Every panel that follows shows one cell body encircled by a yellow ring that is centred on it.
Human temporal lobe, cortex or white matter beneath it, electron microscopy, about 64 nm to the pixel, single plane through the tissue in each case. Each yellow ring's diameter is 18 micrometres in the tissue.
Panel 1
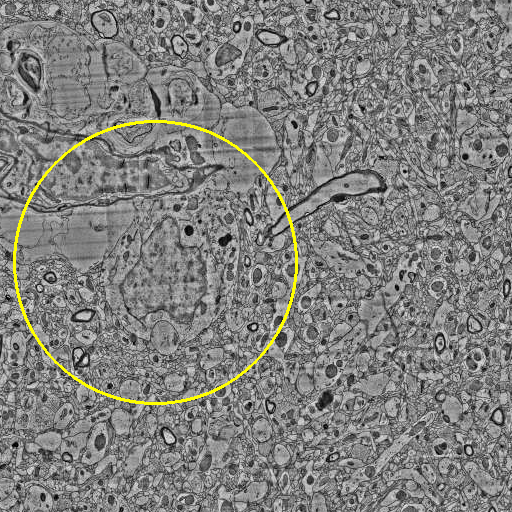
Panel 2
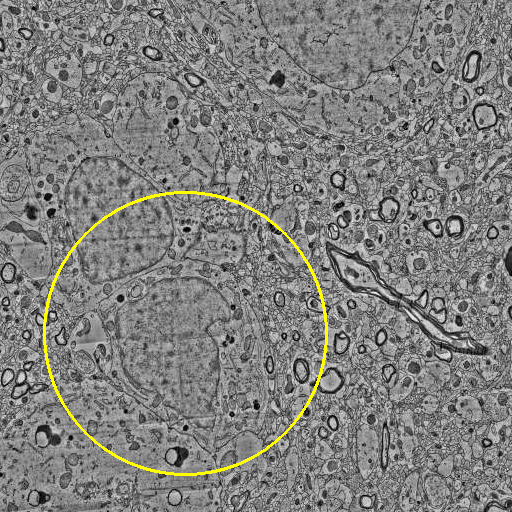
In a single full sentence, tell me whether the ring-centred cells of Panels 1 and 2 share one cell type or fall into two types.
In Panel 1 and Panel 2, the cells at the ring centres share one cell type.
